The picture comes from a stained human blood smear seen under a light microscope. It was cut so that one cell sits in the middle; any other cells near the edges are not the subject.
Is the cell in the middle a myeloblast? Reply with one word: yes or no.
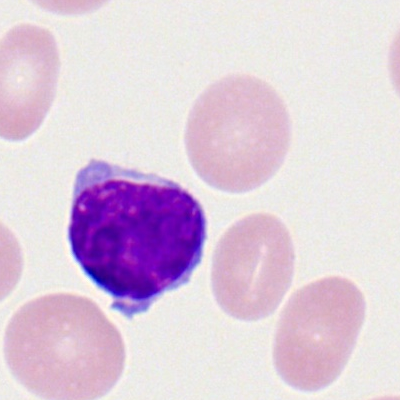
no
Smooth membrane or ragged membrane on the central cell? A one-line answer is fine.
Projections or ragged segments give this cell an irregular rather than smooth border.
